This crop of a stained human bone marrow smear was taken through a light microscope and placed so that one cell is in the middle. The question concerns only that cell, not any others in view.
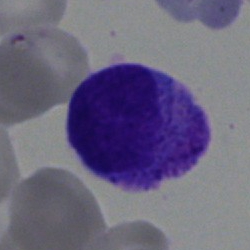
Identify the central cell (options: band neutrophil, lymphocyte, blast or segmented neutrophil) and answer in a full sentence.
The cell in the exact centre of the crop is a blast.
